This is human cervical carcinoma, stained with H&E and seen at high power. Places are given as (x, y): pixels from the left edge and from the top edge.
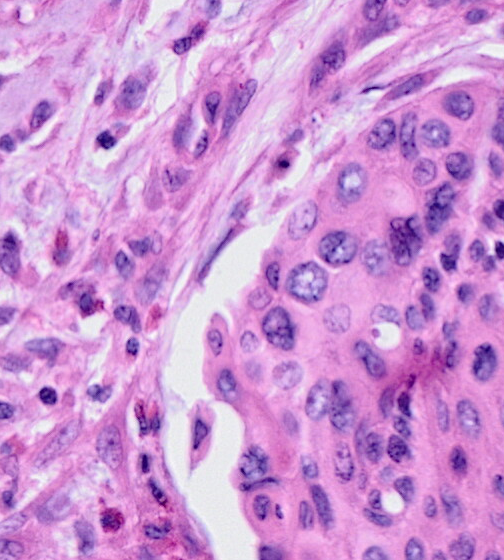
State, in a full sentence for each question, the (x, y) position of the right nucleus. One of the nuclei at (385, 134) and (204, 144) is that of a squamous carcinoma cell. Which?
The nucleus at position (385, 134) belongs to a squamous carcinoma cell.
